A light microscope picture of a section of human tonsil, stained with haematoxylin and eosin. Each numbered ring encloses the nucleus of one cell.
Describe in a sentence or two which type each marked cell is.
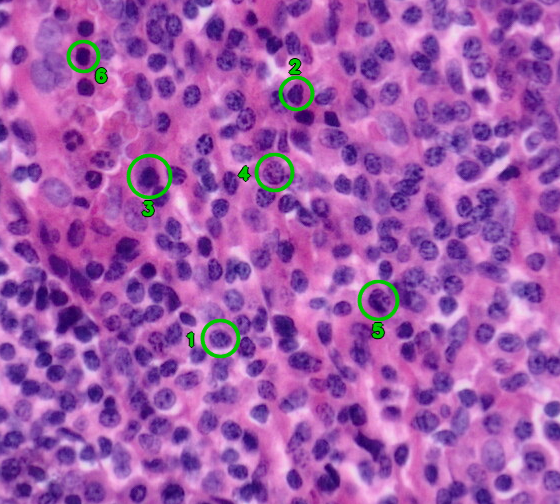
Cells 1, 2, 4 and 5 are plasma cells. Cells 3 and 6 are endothelial cells.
